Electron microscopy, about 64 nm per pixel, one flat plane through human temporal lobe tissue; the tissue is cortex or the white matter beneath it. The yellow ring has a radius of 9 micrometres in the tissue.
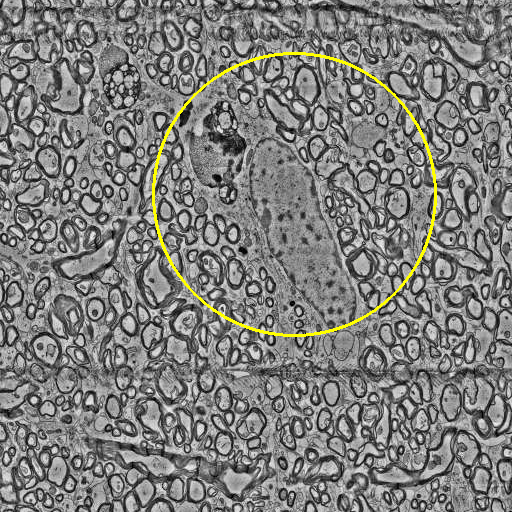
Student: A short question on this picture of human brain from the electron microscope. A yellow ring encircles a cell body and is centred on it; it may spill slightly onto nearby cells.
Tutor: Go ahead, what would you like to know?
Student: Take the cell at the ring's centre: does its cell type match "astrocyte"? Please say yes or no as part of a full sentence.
Yes, in the picture, the cell at the ring's centre has that cell type.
